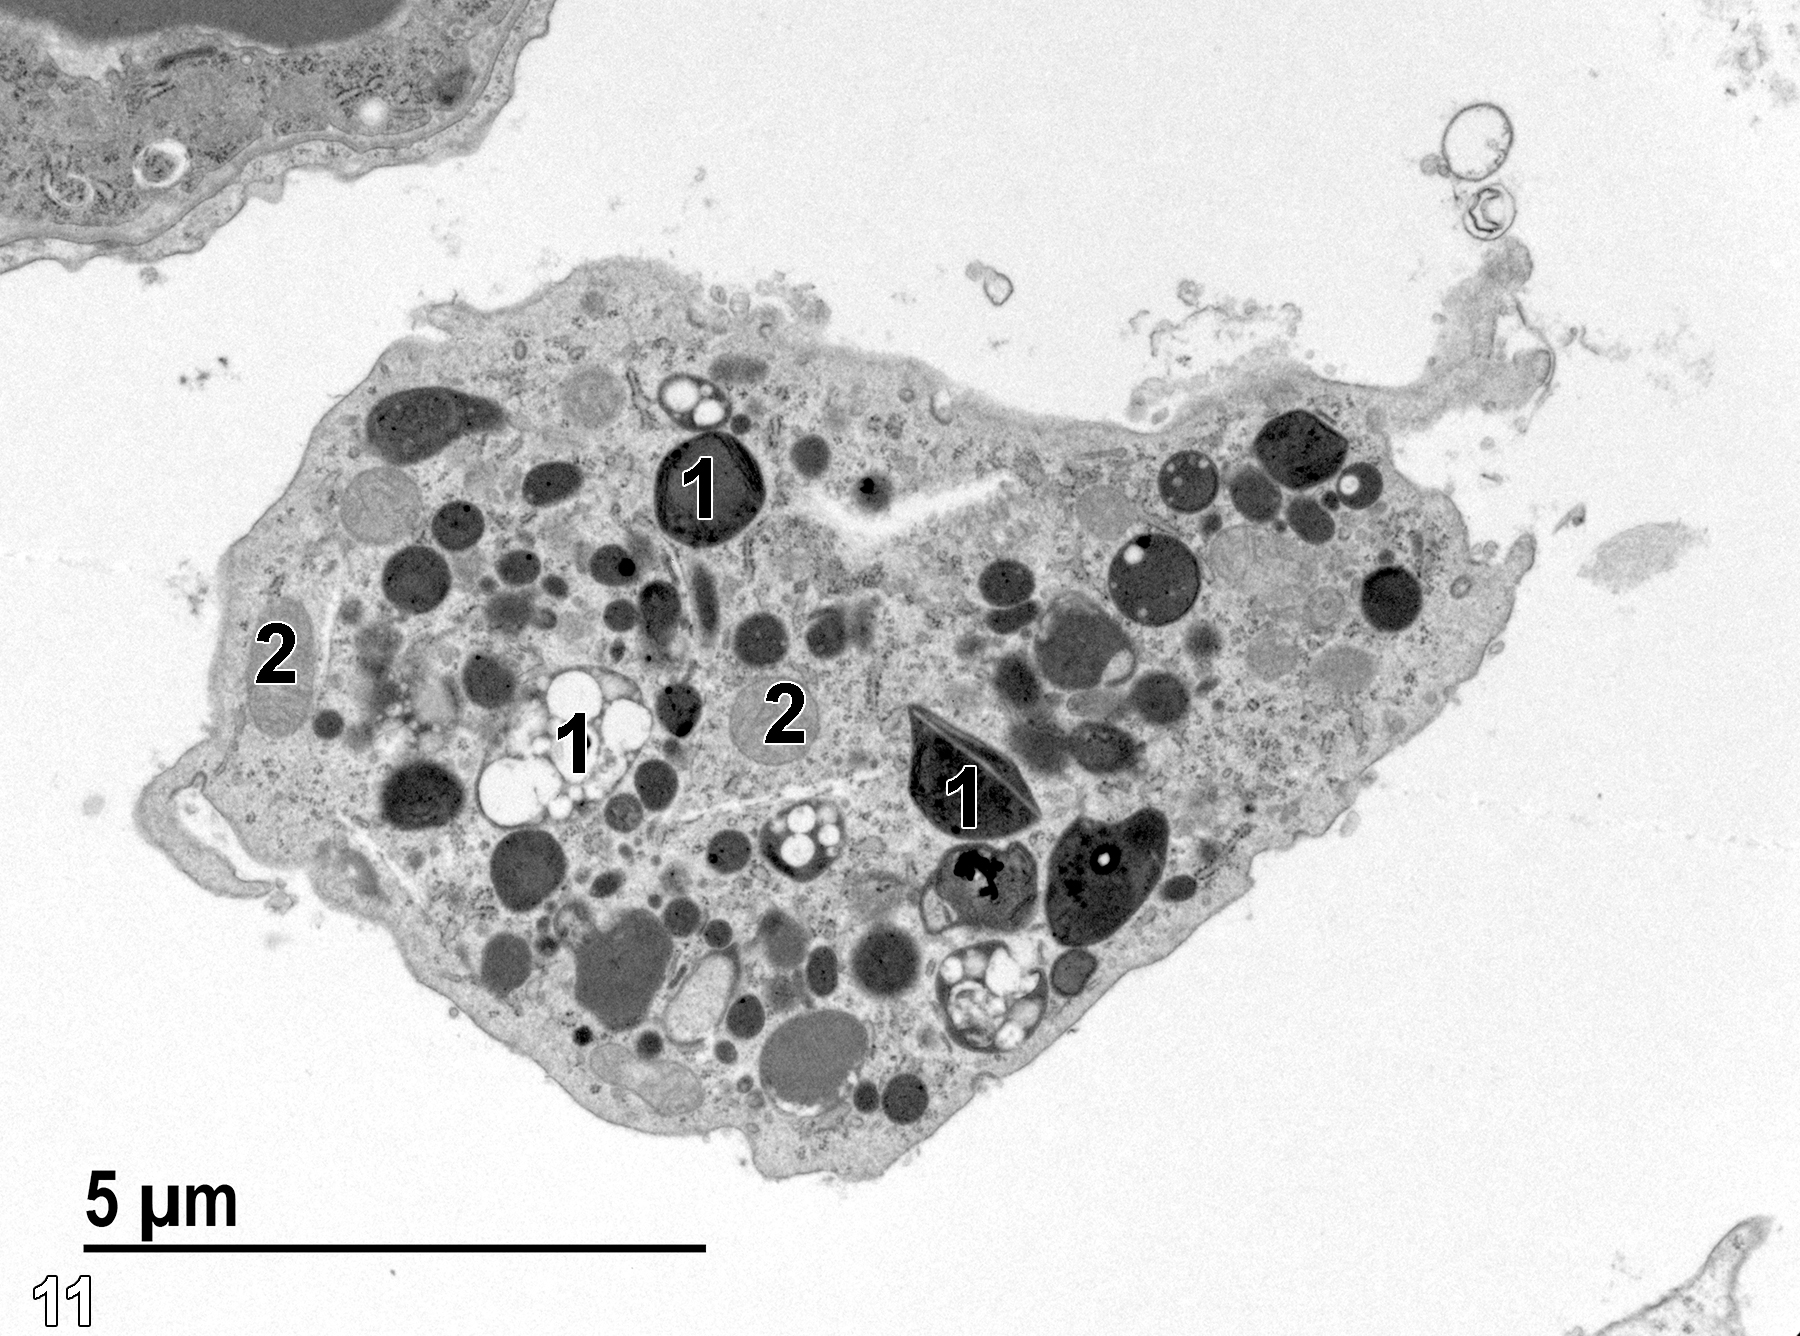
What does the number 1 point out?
lysosomes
